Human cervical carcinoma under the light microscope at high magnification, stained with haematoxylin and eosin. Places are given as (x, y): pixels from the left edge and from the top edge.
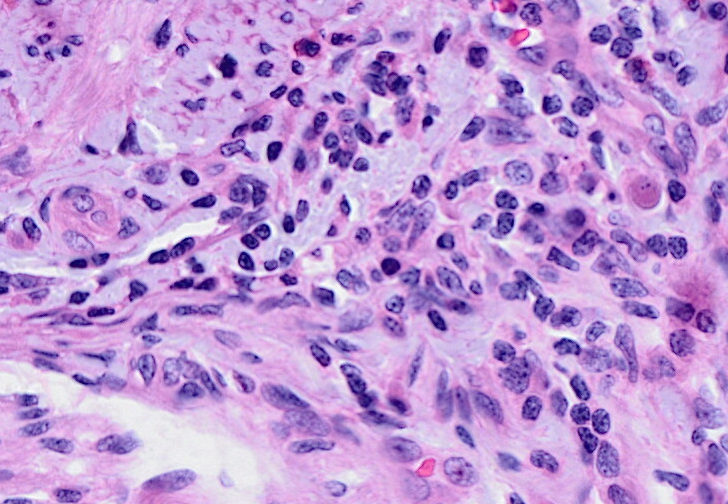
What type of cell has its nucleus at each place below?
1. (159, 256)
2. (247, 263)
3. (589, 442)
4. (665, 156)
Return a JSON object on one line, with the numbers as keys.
{"1": "lymphocyte", "2": "lymphocyte", "3": "lymphocyte", "4": "endothelial cell"}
